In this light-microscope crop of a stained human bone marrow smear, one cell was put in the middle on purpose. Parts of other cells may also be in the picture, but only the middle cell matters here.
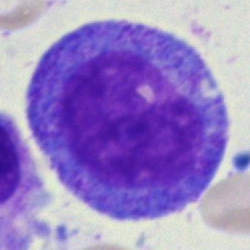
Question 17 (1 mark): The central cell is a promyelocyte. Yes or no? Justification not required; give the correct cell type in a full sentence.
Yes, the cell centred in this crop is a promyelocyte.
